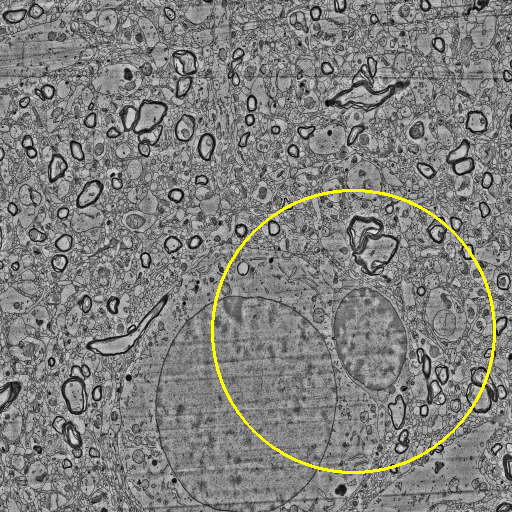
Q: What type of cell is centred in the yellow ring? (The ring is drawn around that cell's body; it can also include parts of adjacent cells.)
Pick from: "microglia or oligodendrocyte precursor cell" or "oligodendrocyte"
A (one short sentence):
The yellow ring is centred on an oligodendrocyte.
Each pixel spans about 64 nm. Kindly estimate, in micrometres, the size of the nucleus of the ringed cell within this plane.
The ringed cell's nucleus is roughly 7 by 4 micrometres and clearly longer than it is wide in this plane.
